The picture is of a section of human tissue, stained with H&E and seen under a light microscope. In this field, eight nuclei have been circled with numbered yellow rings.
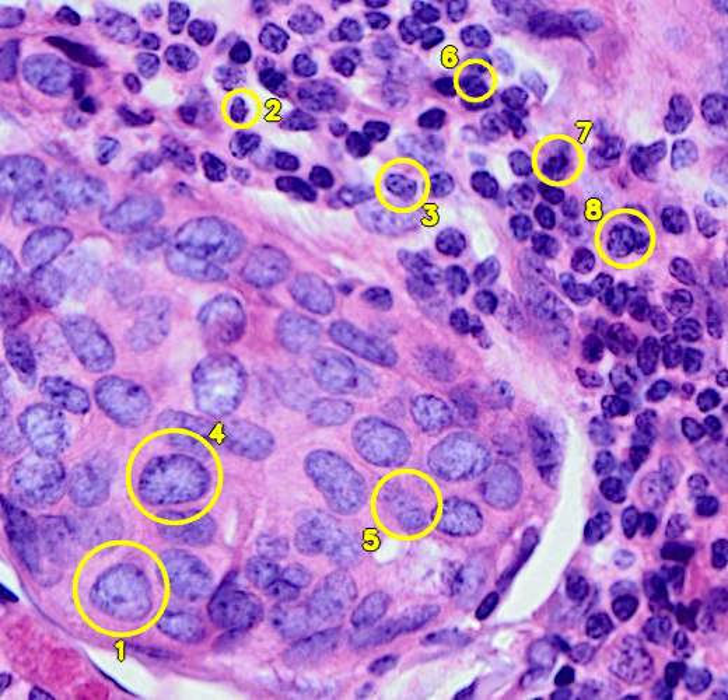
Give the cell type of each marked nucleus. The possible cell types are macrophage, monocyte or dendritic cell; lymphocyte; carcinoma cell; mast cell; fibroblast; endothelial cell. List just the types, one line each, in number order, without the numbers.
carcinoma cell
lymphocyte
lymphocyte
carcinoma cell
carcinoma cell
lymphocyte
lymphocyte
lymphocyte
